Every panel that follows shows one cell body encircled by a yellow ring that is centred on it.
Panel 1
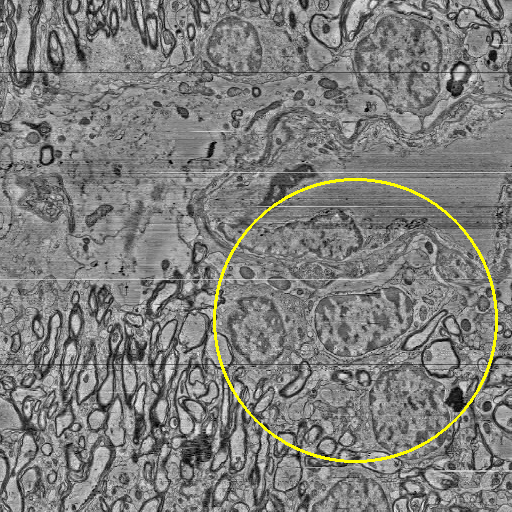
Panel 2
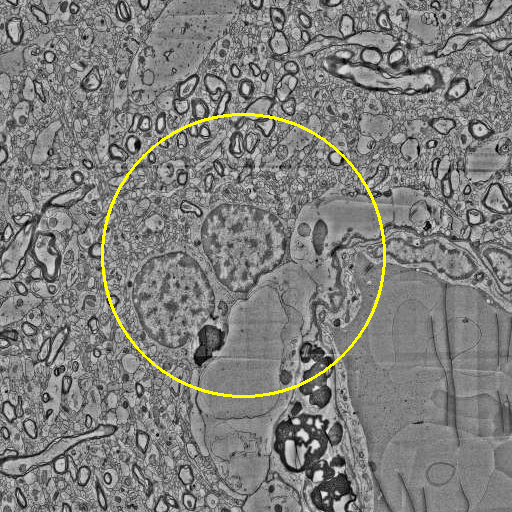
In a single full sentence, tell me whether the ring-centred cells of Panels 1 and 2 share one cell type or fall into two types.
In Panel 1 and Panel 2, the cells at the ring centres fall into two types.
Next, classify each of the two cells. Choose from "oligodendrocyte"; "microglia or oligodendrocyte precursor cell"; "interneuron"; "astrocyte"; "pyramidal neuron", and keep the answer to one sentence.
In the first picture it is a microglial cell or oligodendrocyte precursor cell; in the second it is an oligodendrocyte.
